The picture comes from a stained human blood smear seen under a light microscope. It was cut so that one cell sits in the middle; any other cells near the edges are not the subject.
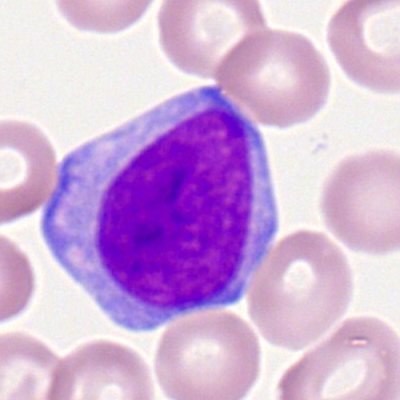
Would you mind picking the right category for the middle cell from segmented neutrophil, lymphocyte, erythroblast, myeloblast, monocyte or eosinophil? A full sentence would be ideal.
The cell found in the middle of this crop is a myeloblast.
